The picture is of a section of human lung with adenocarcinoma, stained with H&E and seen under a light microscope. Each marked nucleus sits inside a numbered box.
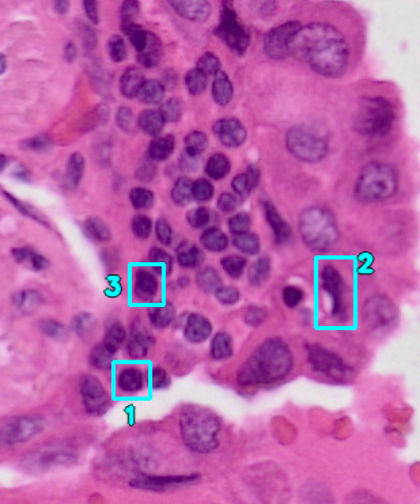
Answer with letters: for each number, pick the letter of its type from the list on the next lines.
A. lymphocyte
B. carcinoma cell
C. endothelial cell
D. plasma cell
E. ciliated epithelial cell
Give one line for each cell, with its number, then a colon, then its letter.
1: A
2: B
3: A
